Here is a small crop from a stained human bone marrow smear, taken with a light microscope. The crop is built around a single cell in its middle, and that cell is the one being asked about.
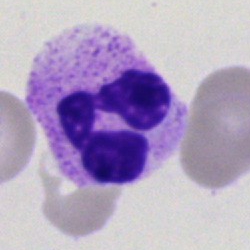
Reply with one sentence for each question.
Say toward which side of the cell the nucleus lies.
Seen from the middle of the cell, the nucleus lies toward the lower right.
